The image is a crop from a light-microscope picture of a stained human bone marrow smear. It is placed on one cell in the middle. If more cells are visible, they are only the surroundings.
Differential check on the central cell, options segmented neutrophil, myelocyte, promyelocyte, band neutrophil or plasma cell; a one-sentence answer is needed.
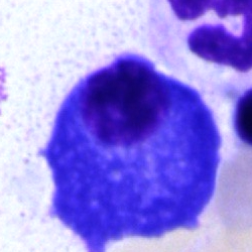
In this crop, the cell at the very middle is a plasma cell.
